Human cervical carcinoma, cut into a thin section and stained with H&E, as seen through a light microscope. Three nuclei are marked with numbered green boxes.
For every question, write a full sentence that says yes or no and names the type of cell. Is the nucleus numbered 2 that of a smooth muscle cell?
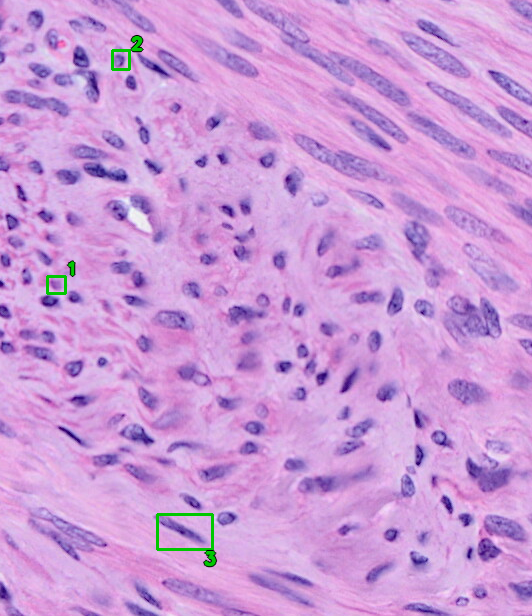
Yes, the cell carrying number 2 is a smooth muscle cell.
